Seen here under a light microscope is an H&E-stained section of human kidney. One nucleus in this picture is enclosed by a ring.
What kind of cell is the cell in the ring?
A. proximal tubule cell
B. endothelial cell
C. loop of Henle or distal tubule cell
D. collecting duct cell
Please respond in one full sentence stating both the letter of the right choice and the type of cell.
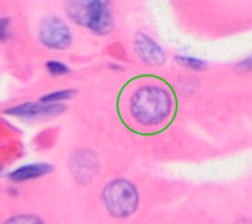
Here the cell in the ring is a proximal tubule cell, which makes option A correct.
